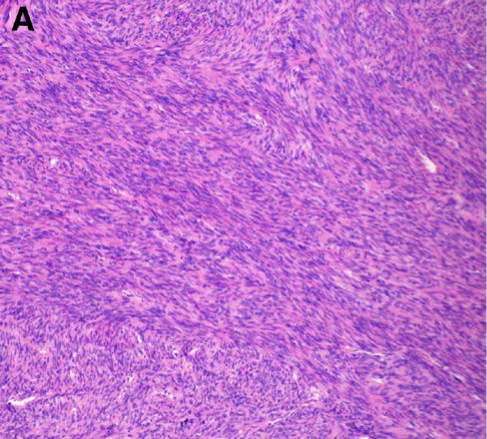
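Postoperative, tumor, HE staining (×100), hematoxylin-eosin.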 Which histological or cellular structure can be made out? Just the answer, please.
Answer: interlacing bundles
